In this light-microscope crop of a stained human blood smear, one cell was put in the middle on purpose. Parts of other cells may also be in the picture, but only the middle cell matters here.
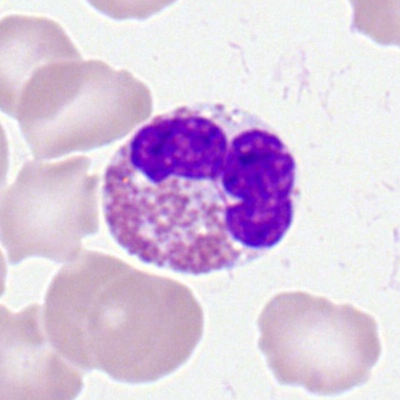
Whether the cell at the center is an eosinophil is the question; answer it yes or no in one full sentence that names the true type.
Yes, the cell at the middle of the field is to be classed as an eosinophil.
